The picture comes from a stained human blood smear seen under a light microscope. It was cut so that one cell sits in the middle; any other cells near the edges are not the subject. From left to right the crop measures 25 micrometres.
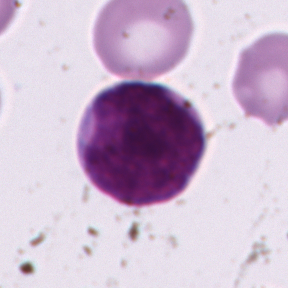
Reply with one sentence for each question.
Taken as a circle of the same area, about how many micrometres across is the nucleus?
About 10 micrometres: that is the diameter of the nucleus.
